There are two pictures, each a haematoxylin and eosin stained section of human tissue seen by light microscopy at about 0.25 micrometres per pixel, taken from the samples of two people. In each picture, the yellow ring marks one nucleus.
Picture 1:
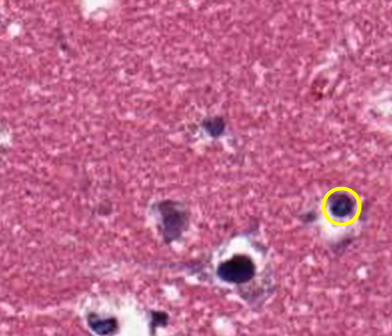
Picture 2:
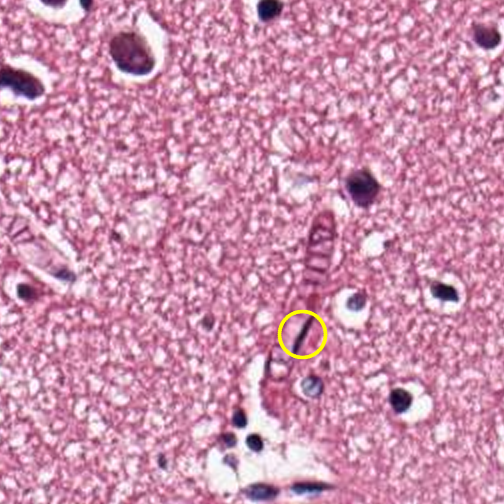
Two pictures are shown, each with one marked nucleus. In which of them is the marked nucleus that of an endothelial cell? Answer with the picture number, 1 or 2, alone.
2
